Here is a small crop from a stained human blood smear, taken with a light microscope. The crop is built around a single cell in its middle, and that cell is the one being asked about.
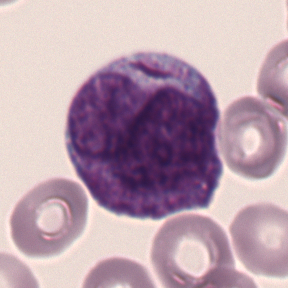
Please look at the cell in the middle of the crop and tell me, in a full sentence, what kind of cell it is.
The middle of this crop is occupied by an atypical promyelocyte.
